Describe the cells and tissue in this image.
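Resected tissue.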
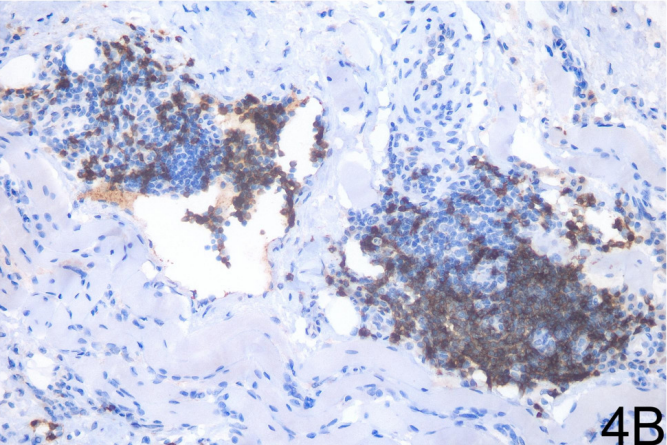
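A compact aggregate of small round cells with dark nuclei and little cytoplasm sits in fibrous stroma, with a second smaller cluster bordering an open space; brown staining is dense and confluent across much of the larger aggregate, while the surrounding stromal cells remain blue. These are lymphocytes gathered into a nodular cluster.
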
